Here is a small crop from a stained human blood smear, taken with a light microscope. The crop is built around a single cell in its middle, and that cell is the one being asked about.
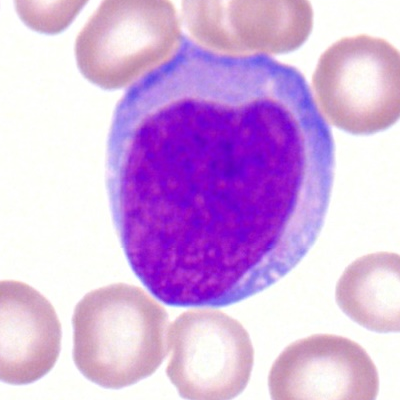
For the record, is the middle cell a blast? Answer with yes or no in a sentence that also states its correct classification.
Yes, the crop's central cell is a blast.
